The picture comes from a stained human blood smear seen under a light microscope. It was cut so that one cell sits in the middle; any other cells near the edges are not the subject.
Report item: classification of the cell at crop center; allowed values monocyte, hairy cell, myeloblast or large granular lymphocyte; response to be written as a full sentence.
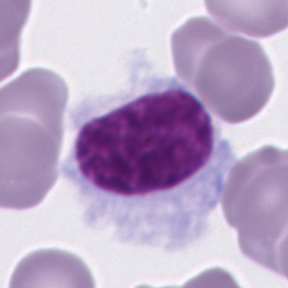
The central element of this crop is a cell, namely a hairy cell.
